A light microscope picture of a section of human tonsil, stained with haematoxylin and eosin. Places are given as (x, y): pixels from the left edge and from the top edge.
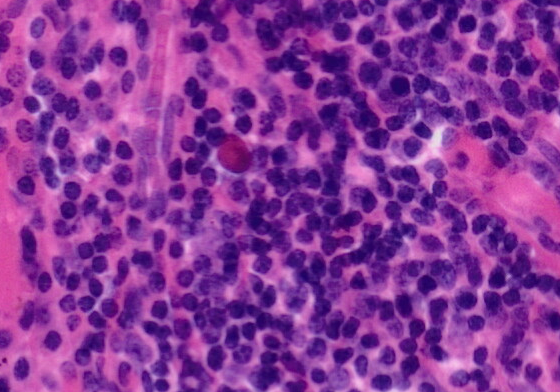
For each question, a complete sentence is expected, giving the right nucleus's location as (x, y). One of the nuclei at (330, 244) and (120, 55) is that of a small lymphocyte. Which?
Of the two nuclei, the one at (330, 244) belongs to a small lymphocyte.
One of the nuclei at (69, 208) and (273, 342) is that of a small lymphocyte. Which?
As for which of the two, the nucleus at (273, 342) belongs to a small lymphocyte.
